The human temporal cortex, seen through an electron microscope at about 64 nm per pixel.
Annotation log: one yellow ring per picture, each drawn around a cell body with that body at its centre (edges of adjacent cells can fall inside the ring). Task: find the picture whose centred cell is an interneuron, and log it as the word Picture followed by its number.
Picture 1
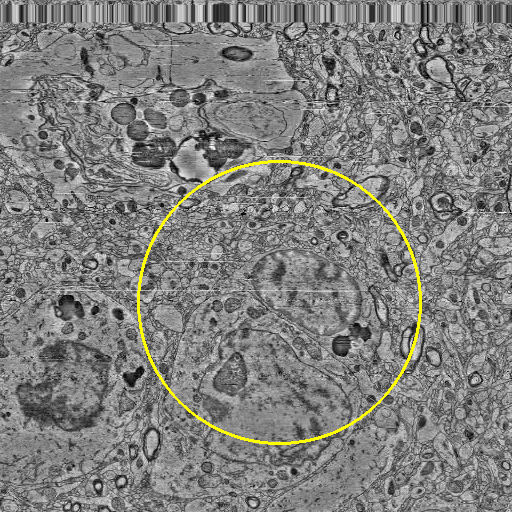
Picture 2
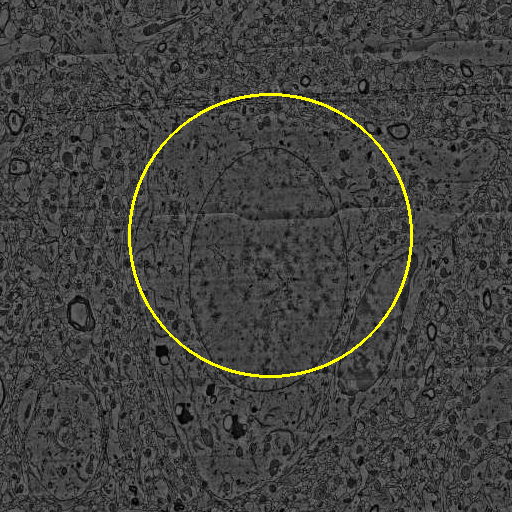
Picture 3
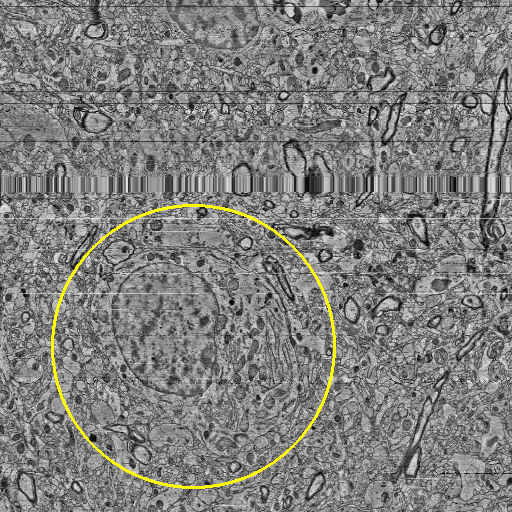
Picture 3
